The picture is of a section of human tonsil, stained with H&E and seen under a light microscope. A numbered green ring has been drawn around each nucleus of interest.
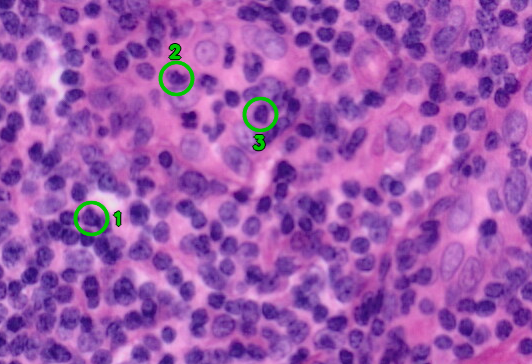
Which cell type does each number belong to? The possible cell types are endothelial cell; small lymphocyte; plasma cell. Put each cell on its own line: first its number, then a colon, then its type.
1: small lymphocyte
2: endothelial cell
3: endothelial cell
